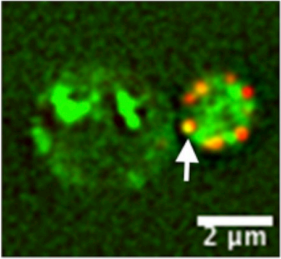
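Two rounded cells lie side by side; only the right one shows red dots. In the right cell the red dots sit in a ring just inside the cell border, and green fills the cytoplasm as patchy signal. Some peripheral dots appear yellow where green and red overlap, one marked at the cell edge. The left cell shows bright irregular green patches but no red dots.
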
